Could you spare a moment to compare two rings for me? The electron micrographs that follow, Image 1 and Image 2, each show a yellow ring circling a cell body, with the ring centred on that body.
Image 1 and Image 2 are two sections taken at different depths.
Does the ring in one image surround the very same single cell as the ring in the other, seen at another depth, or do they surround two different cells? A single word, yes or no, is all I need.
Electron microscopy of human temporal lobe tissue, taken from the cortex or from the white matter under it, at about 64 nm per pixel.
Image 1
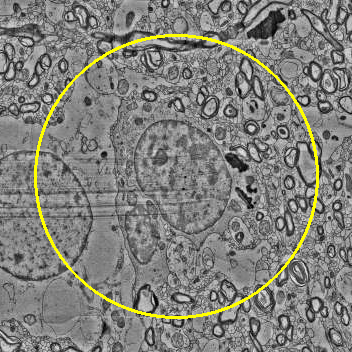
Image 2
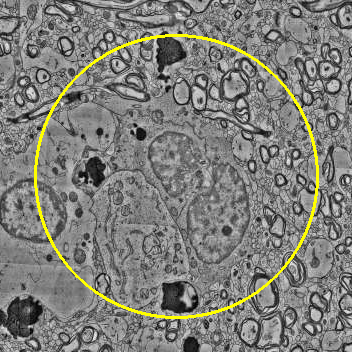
yes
